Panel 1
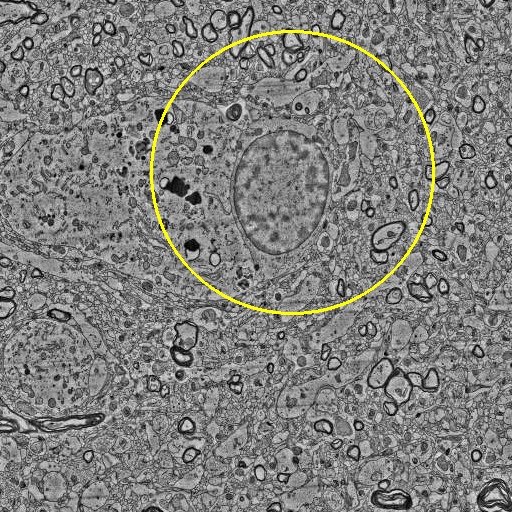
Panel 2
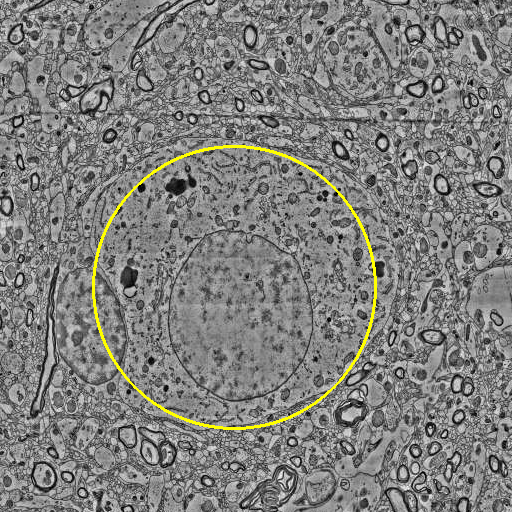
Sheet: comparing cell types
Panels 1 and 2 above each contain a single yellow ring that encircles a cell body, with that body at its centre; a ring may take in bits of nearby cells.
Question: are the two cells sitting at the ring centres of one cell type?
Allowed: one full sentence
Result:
No, the ring-centre cells in Panel 1 and Panel 2 are of two types.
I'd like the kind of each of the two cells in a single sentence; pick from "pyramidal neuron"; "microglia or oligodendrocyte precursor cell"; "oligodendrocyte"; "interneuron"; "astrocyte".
The first ring marks an oligodendrocyte, and the second ring marks a pyramidal neuron.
